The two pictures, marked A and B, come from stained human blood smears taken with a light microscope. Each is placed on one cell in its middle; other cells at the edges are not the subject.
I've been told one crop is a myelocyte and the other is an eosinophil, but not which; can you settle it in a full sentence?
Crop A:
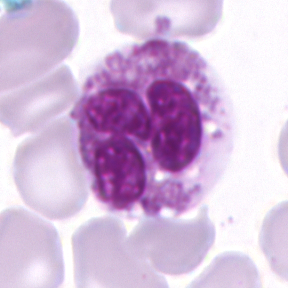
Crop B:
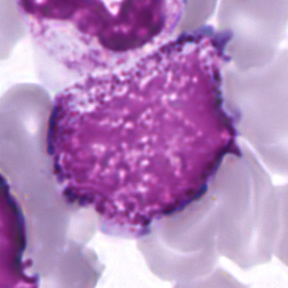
The cell of crop A is an eosinophil; that of crop B is a myelocyte.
